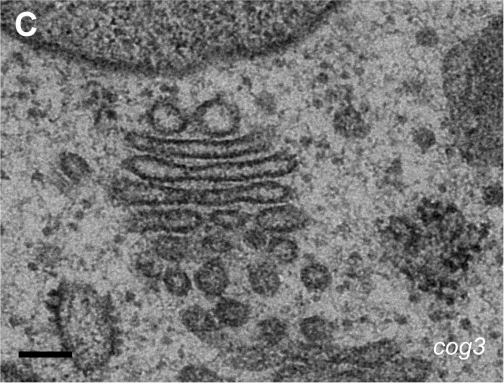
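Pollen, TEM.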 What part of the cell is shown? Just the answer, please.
Golgi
